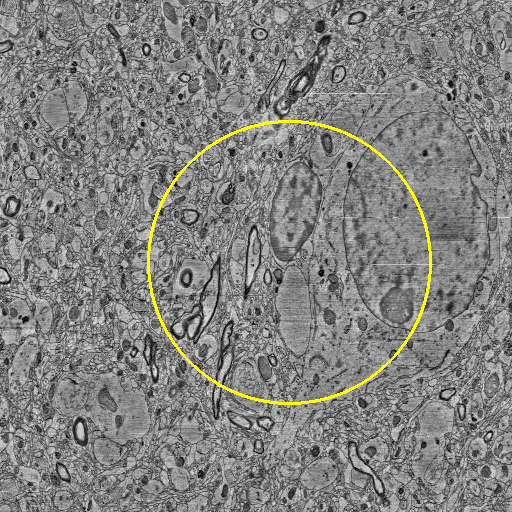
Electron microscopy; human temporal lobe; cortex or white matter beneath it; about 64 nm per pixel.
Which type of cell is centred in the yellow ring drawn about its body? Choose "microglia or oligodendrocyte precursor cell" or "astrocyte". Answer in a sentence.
The yellow ring surrounds the cell body of a microglial cell or oligodendrocyte precursor cell.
